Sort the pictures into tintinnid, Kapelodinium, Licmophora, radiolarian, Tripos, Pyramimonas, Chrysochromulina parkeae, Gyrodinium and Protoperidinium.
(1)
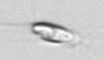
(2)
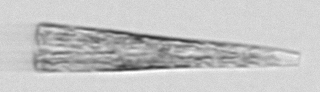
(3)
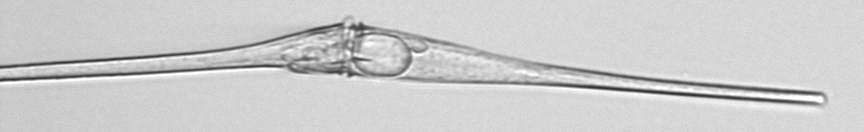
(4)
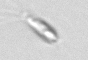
Chrysochromulina parkeae: 1, 4
Licmophora: 2
Tripos: 3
